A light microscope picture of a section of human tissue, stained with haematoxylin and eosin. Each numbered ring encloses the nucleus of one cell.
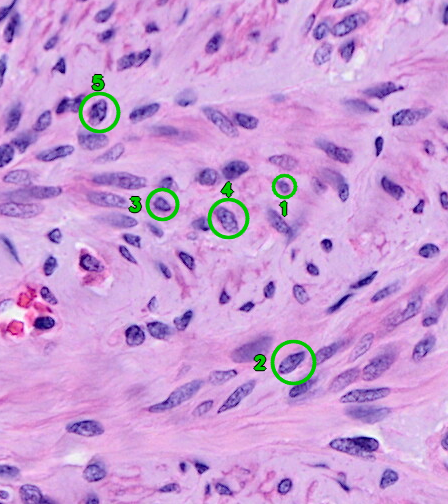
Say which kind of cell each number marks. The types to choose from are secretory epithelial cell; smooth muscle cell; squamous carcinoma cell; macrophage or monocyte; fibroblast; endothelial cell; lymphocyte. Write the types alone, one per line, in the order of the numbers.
smooth muscle cell
fibroblast
smooth muscle cell
smooth muscle cell
lymphocyte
